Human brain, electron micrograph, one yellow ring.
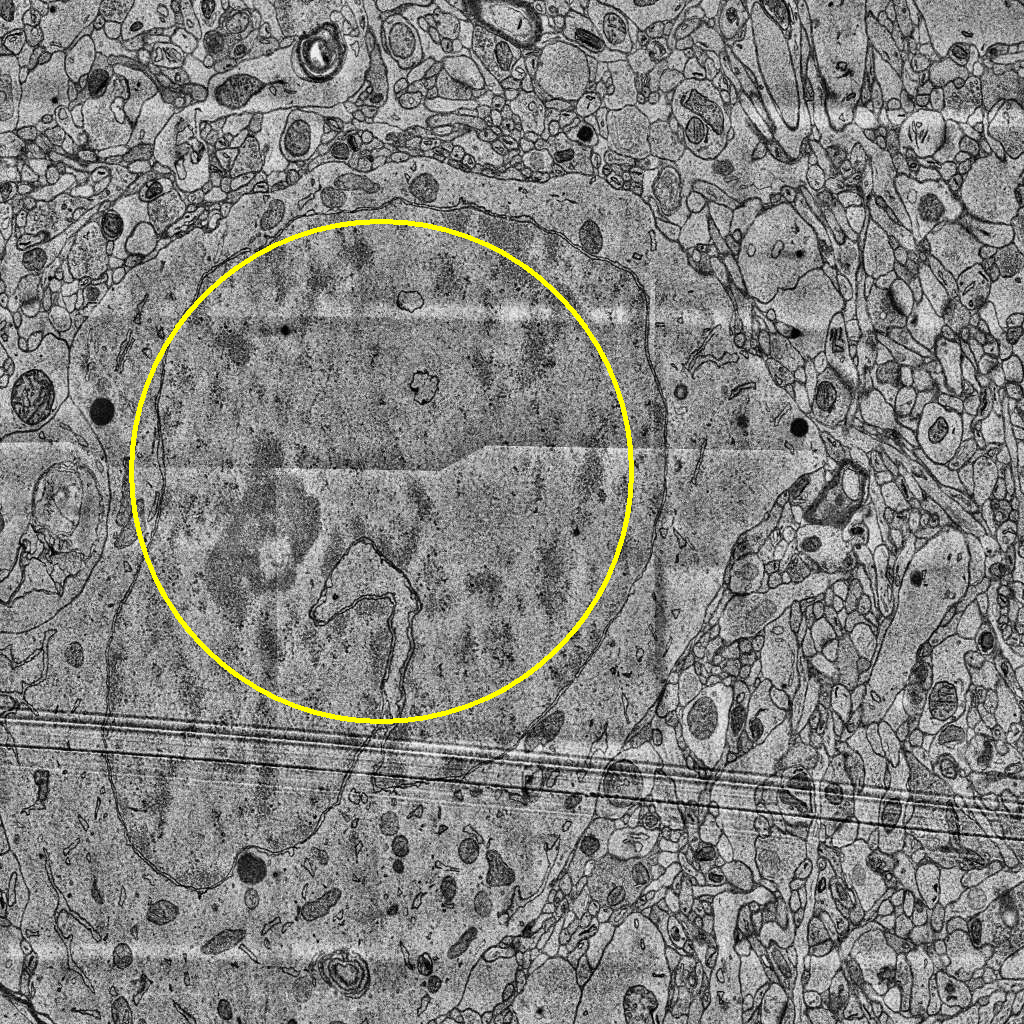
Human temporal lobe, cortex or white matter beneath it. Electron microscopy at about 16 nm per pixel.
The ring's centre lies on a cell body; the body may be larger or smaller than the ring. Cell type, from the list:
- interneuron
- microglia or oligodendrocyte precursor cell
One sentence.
The yellow ring's centre lies on an interneuron.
